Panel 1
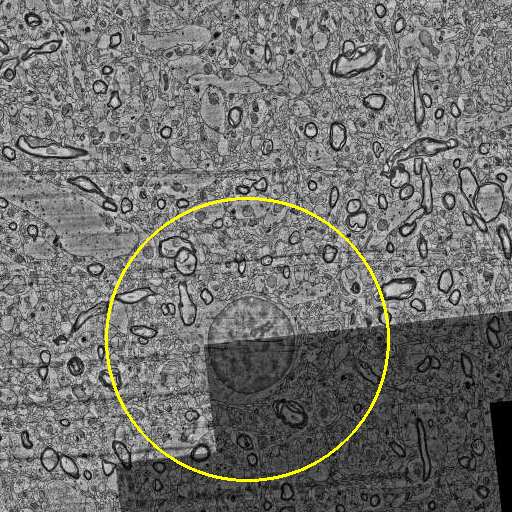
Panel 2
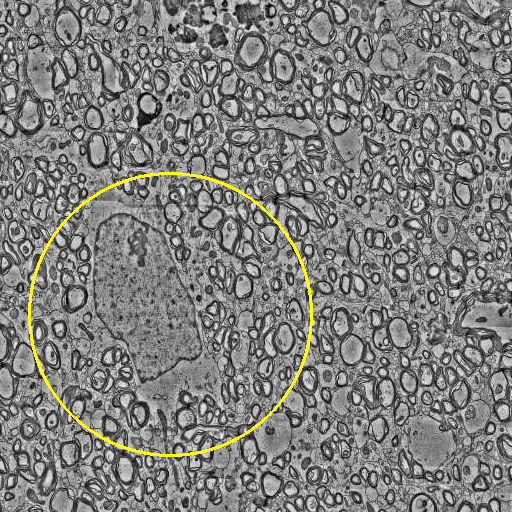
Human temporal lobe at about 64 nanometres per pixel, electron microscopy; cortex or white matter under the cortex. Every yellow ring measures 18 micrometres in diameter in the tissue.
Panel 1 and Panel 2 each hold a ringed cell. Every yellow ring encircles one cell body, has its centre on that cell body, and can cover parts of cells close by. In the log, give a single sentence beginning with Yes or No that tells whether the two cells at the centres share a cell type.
No, in Panel 1 and Panel 2 the centred cells are of two cell types.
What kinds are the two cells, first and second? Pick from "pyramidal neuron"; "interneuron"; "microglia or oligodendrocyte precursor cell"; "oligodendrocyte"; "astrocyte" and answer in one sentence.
The second picture holds an astrocyte in its ring, and the first holds an oligodendrocyte.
